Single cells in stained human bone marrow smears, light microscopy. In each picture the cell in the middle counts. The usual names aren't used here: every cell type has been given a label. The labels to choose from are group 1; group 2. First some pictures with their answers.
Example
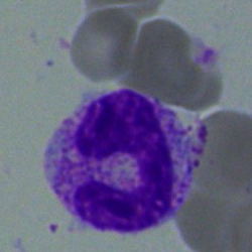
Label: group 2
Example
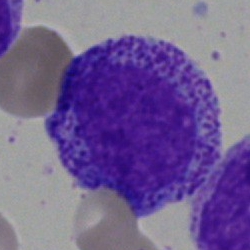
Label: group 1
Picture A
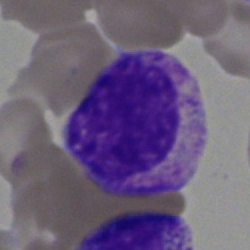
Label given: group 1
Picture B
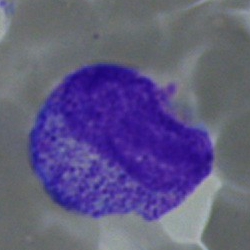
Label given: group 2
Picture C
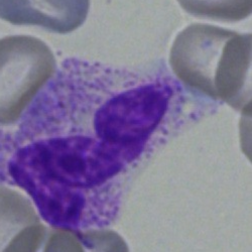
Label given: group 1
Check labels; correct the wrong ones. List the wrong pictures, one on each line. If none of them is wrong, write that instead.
Wrong: B (group 2); correct: group 1
Wrong: C (group 1); correct: group 2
